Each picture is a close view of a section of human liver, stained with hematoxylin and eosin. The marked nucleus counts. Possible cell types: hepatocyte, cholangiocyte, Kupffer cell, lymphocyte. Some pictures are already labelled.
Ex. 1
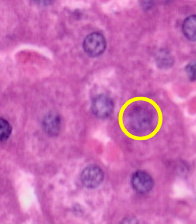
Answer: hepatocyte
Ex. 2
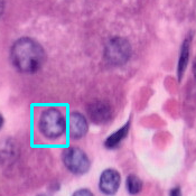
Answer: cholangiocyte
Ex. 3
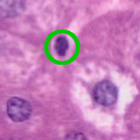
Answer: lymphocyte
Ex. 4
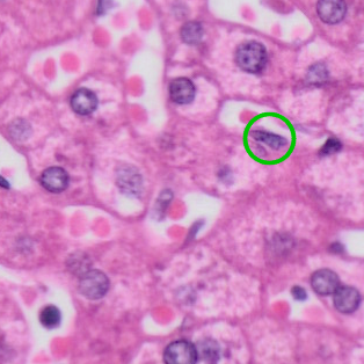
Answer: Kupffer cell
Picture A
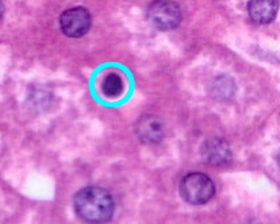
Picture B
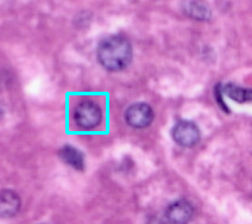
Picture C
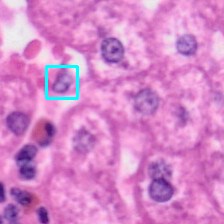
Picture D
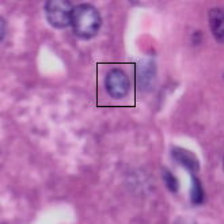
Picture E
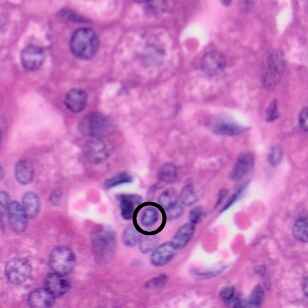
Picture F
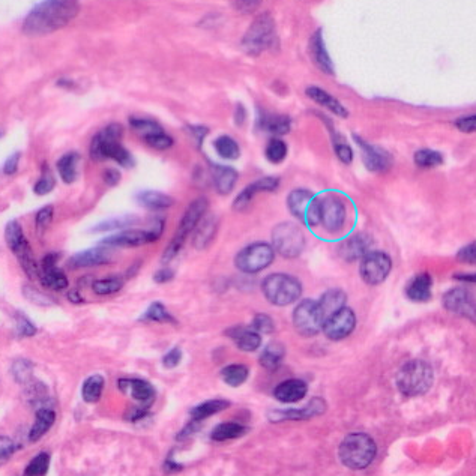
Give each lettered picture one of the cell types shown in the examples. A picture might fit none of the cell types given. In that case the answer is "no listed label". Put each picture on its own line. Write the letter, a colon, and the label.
A: lymphocyte
B: hepatocyte
C: Kupffer cell
D: cholangiocyte
E: cholangiocyte
F: cholangiocyte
